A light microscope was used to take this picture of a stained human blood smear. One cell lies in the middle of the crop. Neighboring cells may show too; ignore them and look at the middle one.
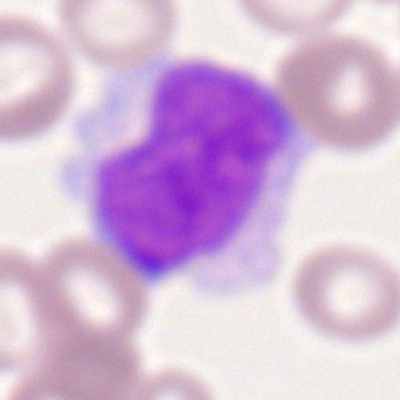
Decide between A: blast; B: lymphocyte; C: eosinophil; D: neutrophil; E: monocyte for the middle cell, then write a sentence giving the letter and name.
The cell centered in the crop is a monocyte, making option E the correct pick.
